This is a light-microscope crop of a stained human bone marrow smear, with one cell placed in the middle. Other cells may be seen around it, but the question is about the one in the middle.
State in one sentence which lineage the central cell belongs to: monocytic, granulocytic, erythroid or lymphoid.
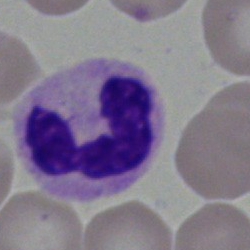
Lineage-wise, the central cell here belongs with the granulocytic series.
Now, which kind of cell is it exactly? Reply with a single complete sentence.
The cell occupying the middle of the crop is a segmented neutrophil.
